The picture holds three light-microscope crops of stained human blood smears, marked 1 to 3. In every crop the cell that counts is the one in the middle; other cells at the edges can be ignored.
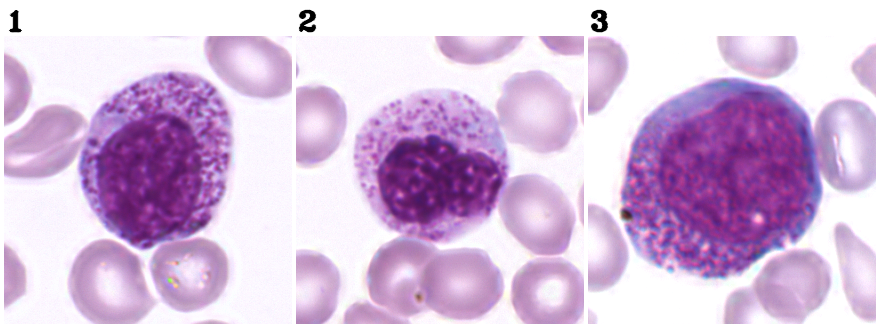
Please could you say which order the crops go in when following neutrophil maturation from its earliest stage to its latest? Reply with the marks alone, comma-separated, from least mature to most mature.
3, 1, 2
